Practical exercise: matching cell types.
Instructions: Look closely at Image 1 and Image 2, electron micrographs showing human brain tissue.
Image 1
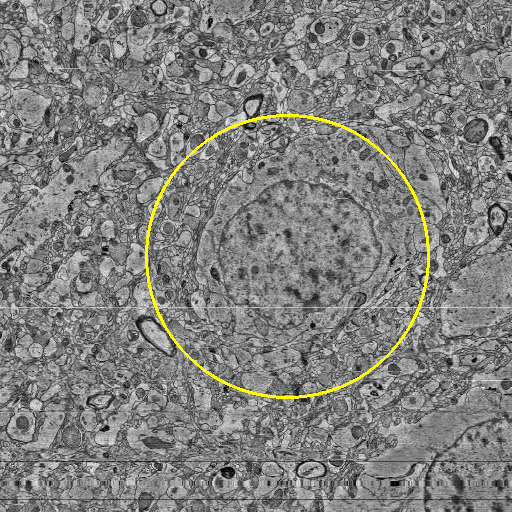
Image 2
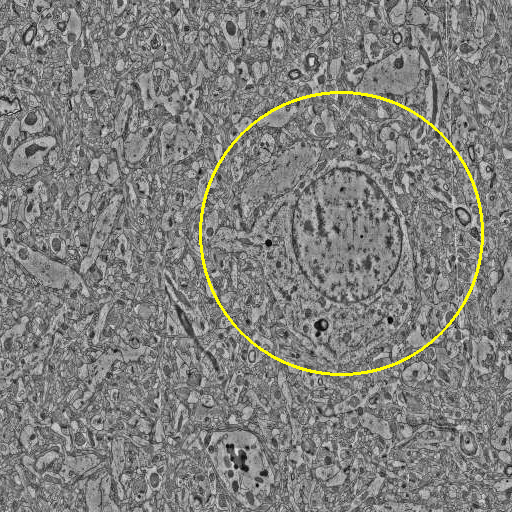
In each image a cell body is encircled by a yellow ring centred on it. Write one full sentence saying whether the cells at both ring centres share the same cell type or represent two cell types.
Across Image 1 and Image 2, the cells at the ring centres represent two cell types.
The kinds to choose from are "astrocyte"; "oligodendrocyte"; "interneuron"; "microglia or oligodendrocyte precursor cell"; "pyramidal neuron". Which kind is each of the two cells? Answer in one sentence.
Of the two, the first cell is an interneuron and the second cell is a pyramidal neuron.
